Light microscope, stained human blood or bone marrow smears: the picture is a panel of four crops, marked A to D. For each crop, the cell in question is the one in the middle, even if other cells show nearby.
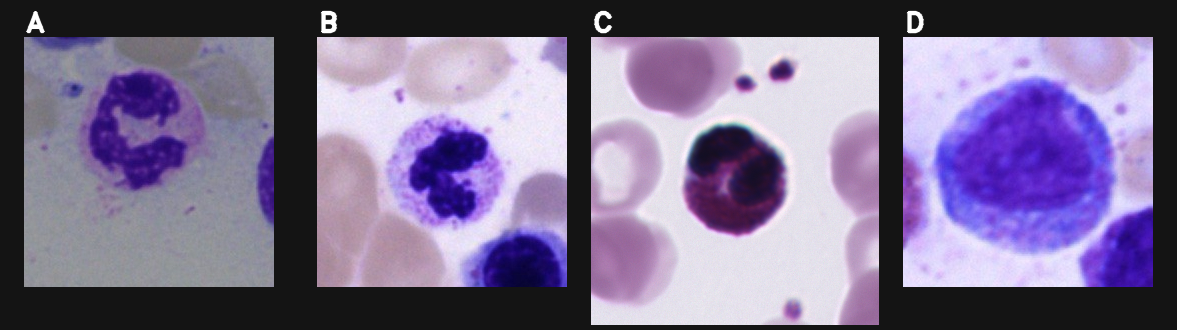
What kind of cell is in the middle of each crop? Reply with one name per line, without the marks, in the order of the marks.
neutrophil
neutrophil
eosinophil
promyelocyte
